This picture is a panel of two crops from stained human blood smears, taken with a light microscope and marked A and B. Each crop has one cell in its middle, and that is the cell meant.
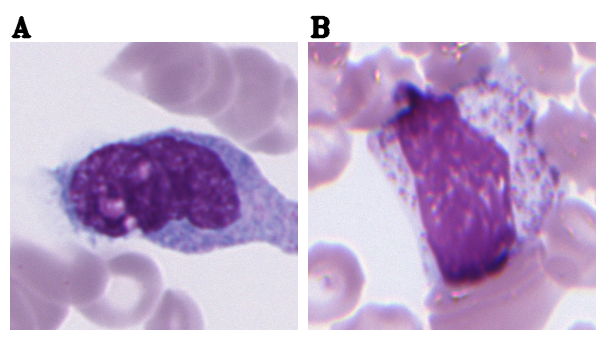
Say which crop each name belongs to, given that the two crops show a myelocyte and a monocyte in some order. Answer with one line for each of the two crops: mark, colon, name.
A: monocyte
B: myelocyte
